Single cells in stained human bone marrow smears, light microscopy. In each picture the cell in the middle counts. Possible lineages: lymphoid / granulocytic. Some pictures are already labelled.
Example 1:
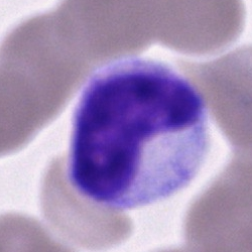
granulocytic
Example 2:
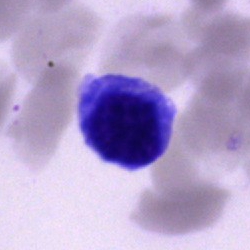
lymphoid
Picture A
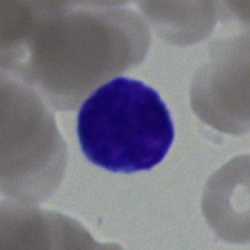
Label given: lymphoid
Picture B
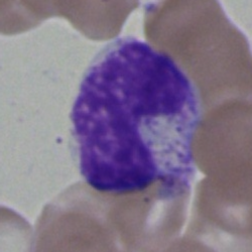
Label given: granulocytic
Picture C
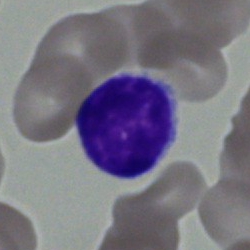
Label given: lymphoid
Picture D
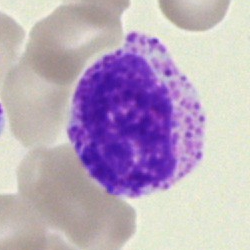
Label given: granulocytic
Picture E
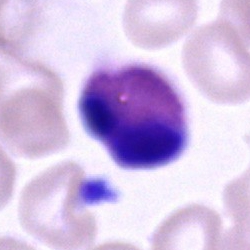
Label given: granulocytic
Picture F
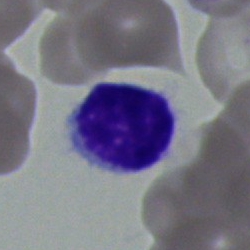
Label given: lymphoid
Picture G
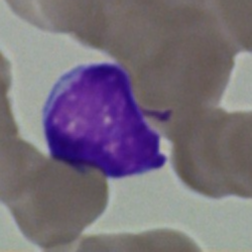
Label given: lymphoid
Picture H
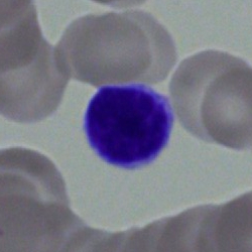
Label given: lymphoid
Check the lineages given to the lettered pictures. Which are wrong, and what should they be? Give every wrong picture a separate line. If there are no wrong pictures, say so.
Nothing to fix; every label fits.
